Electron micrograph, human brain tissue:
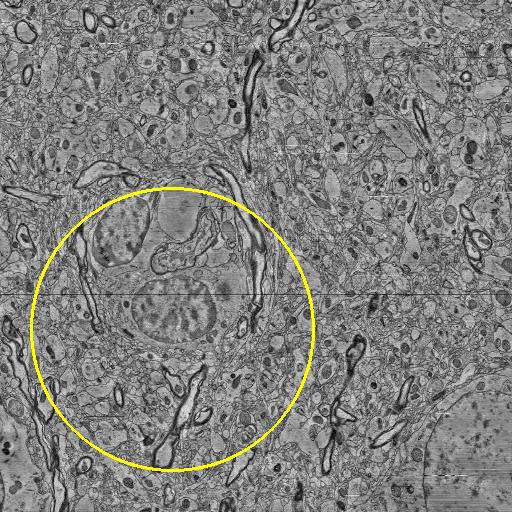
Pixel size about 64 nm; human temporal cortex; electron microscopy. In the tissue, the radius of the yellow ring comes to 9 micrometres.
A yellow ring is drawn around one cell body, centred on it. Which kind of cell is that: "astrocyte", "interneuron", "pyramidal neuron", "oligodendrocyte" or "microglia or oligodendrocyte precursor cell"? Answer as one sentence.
It is an oligodendrocyte at the centre of the ring.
